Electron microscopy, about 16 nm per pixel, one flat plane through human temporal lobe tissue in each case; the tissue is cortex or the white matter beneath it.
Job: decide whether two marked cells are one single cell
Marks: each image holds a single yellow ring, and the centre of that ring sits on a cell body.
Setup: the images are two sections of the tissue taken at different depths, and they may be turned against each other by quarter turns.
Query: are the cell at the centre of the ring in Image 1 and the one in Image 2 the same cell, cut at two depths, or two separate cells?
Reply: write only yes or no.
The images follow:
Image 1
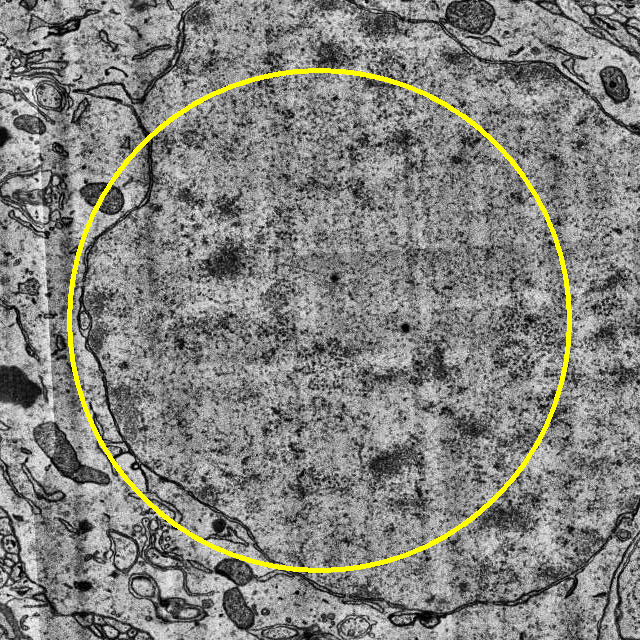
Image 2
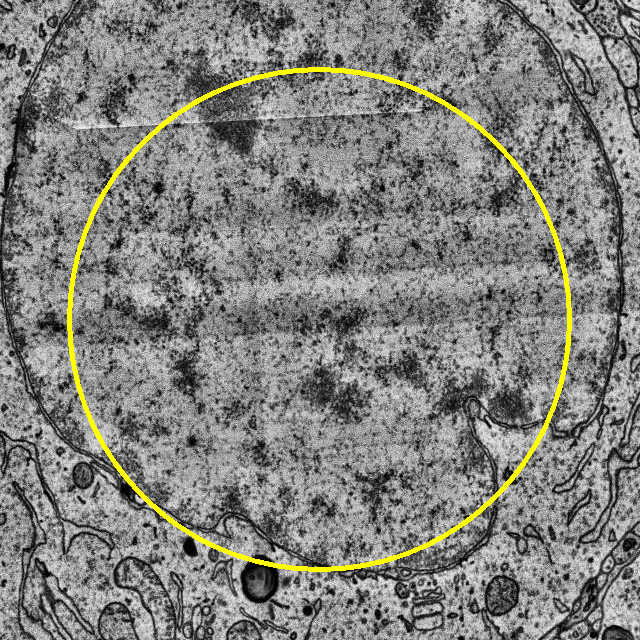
no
